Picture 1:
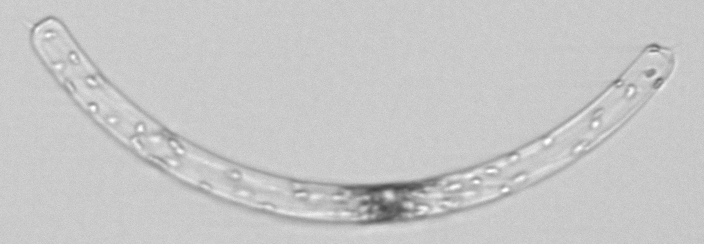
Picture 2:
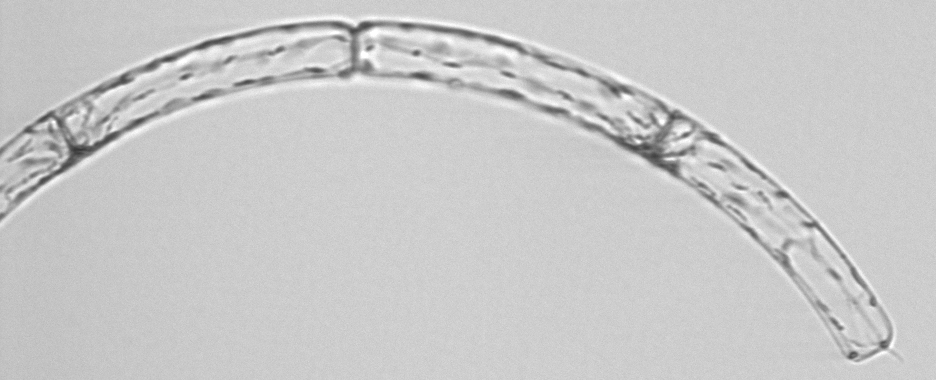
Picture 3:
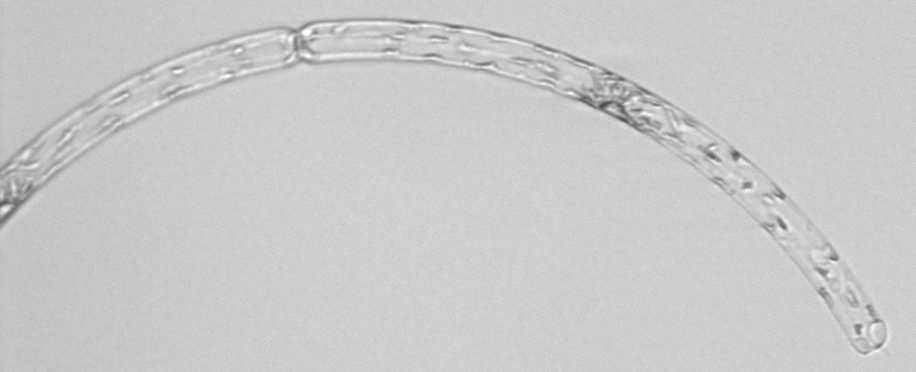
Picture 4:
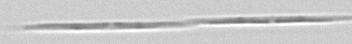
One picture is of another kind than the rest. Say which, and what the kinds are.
Picture 4 shows Pseudo-nitzschia; the rest show Guinardia.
